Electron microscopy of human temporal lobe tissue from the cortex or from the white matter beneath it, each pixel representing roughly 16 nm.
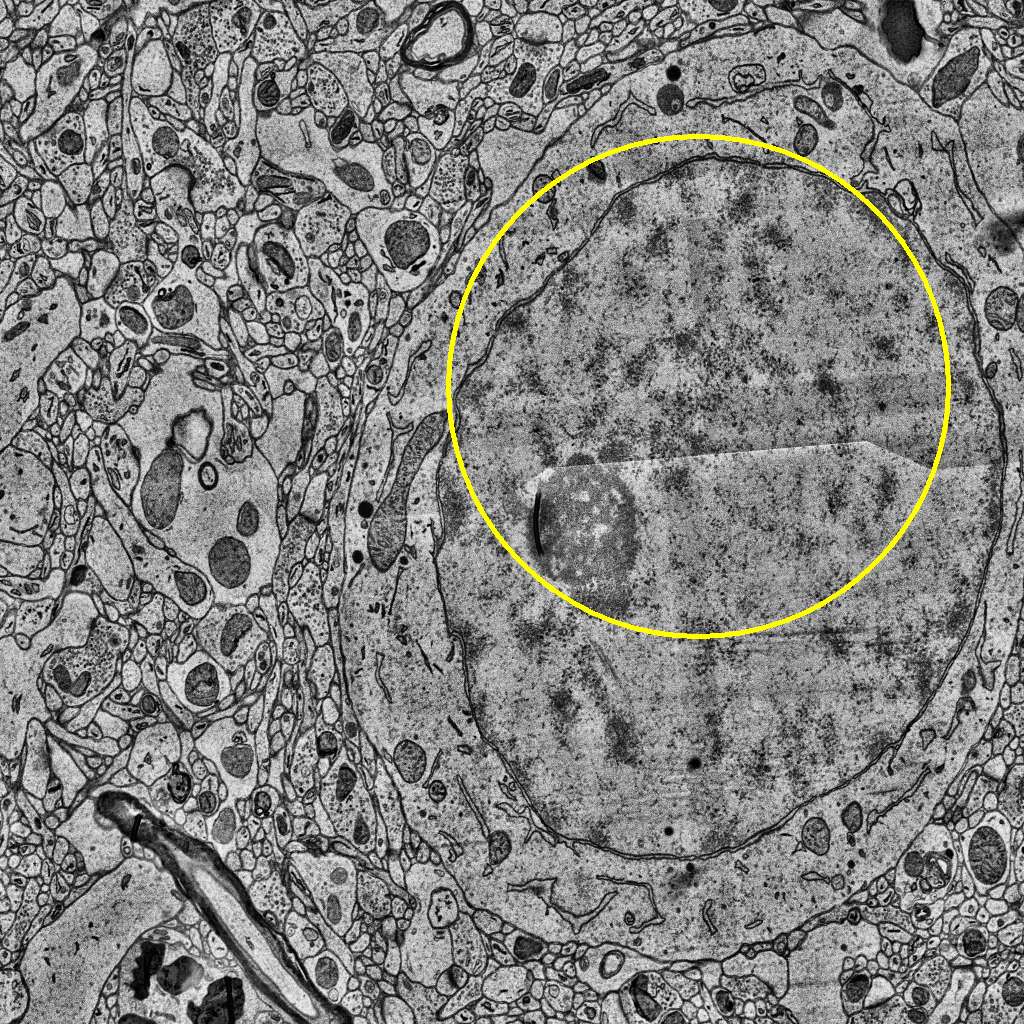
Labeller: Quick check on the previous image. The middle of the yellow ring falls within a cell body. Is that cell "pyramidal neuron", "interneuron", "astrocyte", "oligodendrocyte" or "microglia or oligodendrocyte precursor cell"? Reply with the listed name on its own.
interneuron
